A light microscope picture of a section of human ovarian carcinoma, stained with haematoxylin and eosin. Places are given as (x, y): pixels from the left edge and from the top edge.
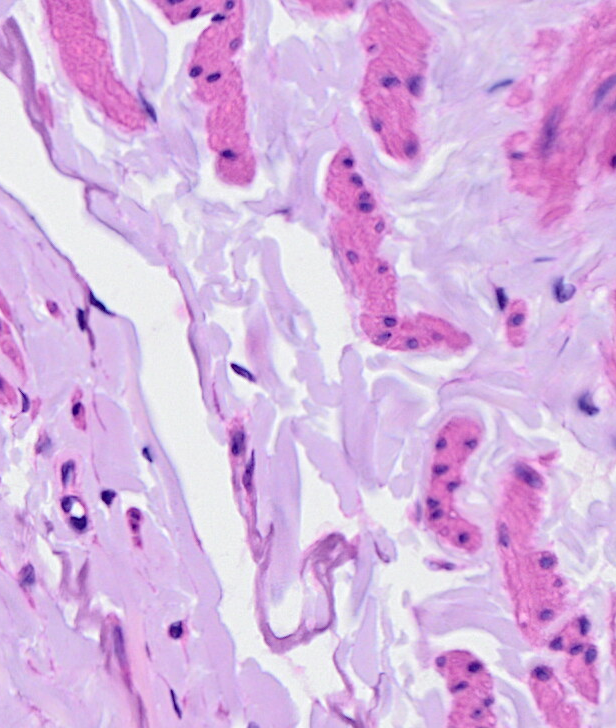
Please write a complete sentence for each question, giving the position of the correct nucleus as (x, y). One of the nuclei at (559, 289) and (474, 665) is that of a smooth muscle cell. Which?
Of the two nuclei, the nucleus of a smooth muscle cell is at (474, 665).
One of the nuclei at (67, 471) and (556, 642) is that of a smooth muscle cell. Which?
It is at (556, 642) that the nucleus of a smooth muscle cell is found.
